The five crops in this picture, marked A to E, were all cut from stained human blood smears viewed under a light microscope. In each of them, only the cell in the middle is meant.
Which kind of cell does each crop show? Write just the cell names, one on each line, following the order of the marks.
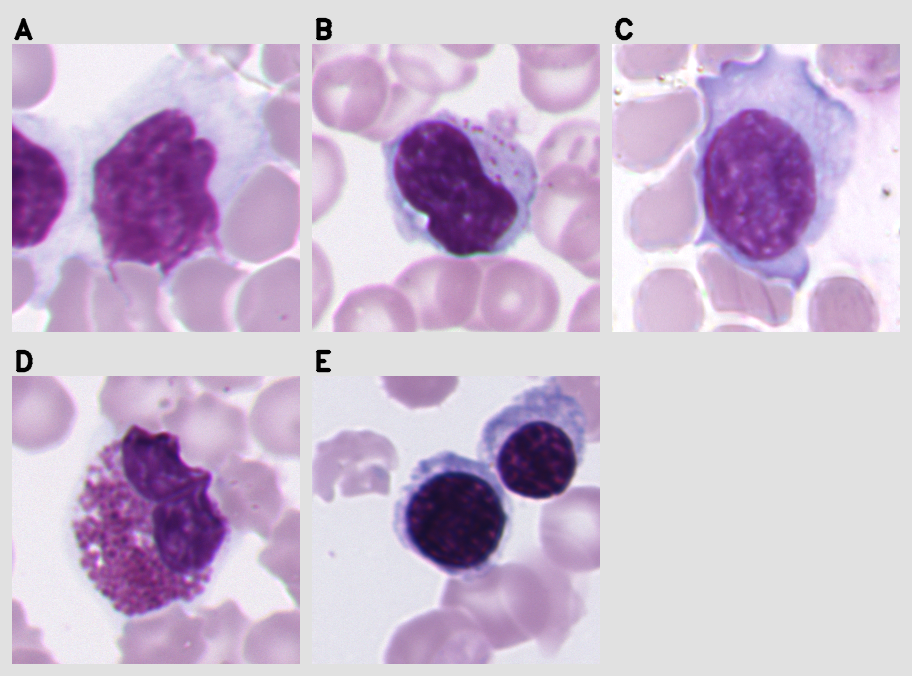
hairy cell
large granular lymphocyte
plasma cell
eosinophil
normoblast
